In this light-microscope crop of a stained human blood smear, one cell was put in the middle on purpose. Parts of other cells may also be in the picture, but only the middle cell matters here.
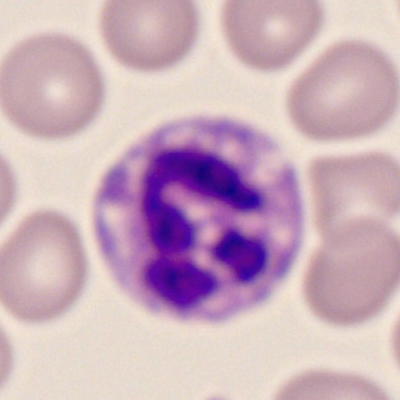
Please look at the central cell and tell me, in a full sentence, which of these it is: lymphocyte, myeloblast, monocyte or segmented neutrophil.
Centred in the crop is a segmented neutrophil.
